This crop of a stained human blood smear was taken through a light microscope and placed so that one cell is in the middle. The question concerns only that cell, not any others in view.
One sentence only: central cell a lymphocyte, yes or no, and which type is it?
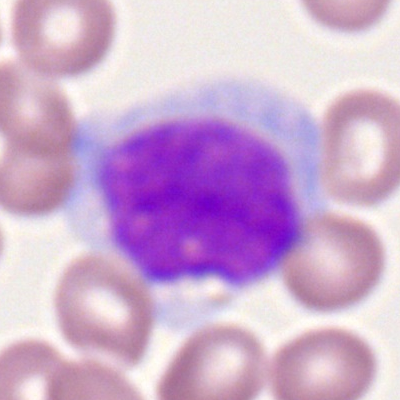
No, the cell sitting in the middle is a monocyte, and it is not a lymphocyte.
